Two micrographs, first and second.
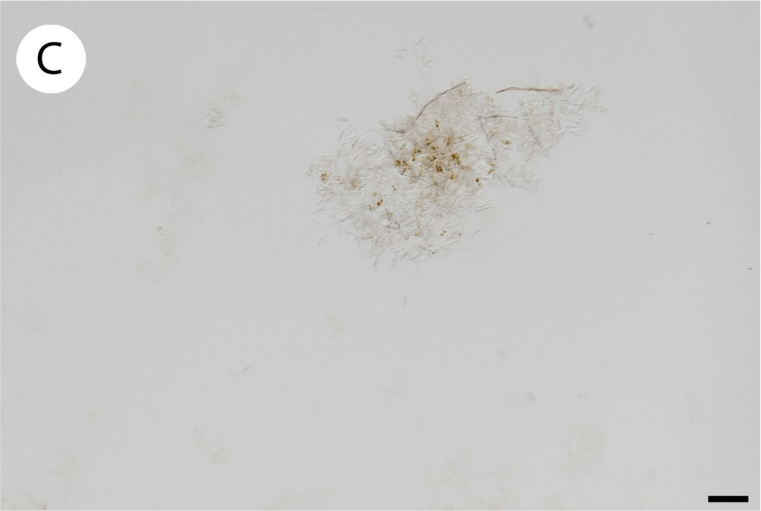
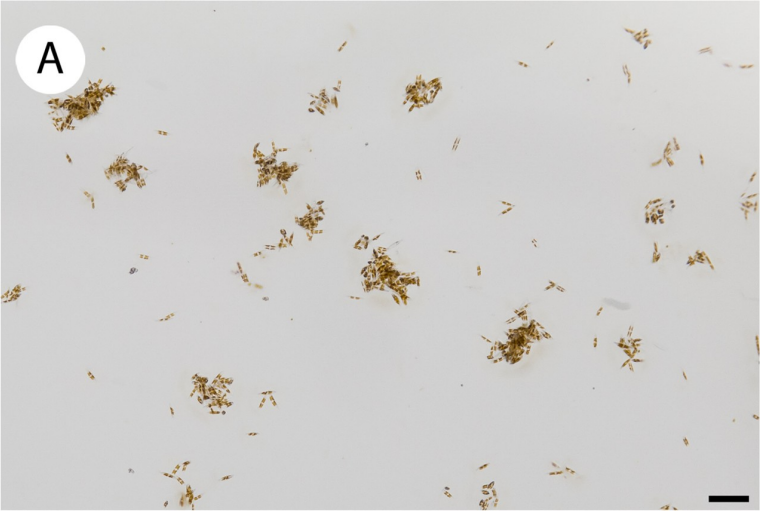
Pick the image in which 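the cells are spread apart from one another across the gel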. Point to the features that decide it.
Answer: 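First image: the cells lie in one dense cluster with empty gel around it. Second image: single cells and small groups are scattered over the whole field. That points to this answer: the second image.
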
